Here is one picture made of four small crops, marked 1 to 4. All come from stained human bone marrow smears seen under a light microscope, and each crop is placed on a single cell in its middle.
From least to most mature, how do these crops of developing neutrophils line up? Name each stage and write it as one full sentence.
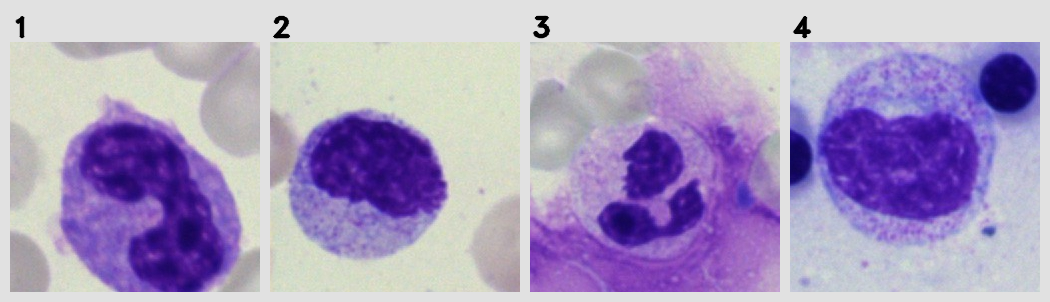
In ascending maturational order, the crops are crop 4 (a myelocyte), crop 2 (a metamyelocyte), crop 1 (a band neutrophil) and crop 3 (a segmented neutrophil).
